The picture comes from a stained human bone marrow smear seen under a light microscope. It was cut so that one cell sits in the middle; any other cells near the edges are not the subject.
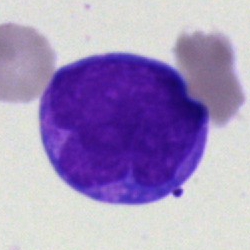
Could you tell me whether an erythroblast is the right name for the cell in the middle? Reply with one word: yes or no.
no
